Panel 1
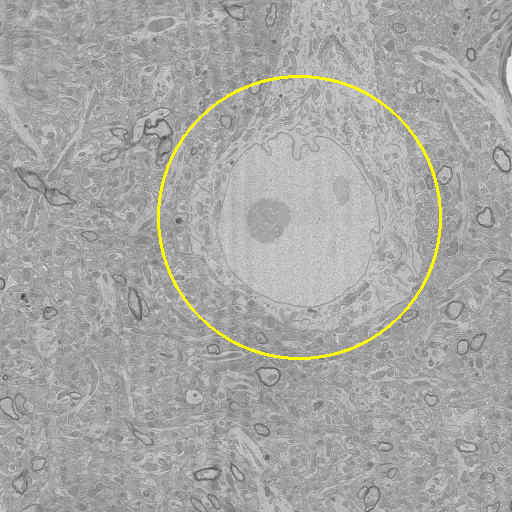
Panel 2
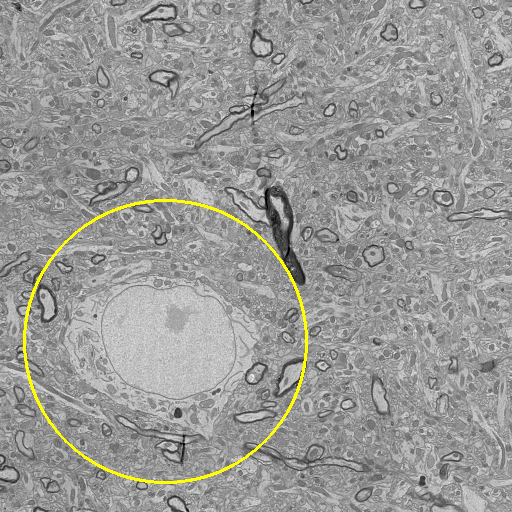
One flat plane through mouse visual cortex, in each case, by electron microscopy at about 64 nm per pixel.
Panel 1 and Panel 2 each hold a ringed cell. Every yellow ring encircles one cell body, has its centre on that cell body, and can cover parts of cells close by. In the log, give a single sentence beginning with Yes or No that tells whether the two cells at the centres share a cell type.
Yes, in Panel 1 and Panel 2 the centred cells share a cell type.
